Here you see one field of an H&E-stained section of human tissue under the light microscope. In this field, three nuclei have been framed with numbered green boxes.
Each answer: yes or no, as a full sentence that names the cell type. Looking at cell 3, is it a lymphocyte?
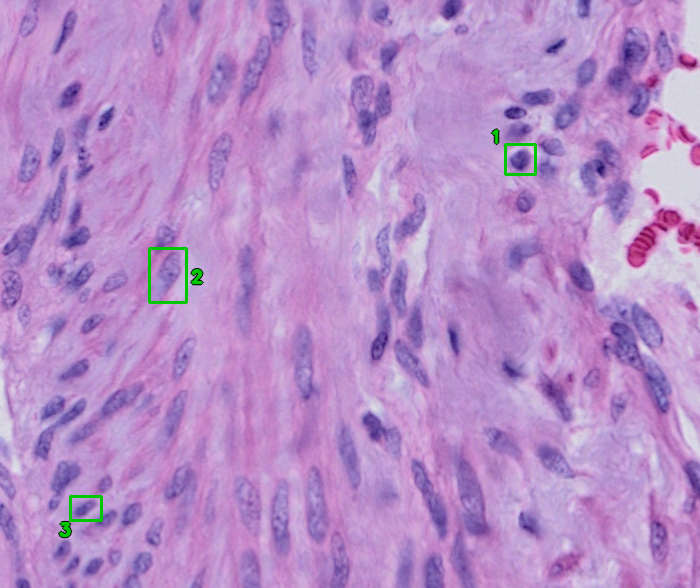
No, the cell that carries number 3 is a smooth muscle cell, not a lymphocyte.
